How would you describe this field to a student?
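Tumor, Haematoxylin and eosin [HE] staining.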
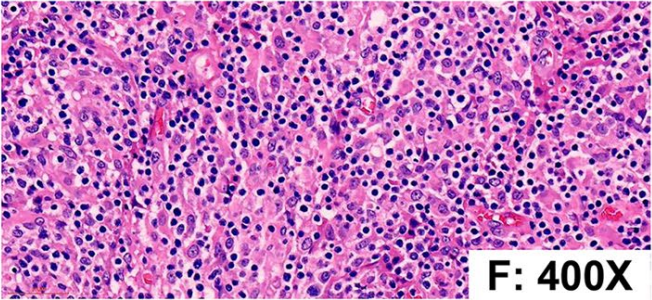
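Sheets of small cells with dark, round to slightly irregular nuclei and very little cytoplasm fill much of the field. Scattered among them are larger cells with plentiful pale pink cytoplasm and oval or elongated, paler nuclei with fine chromatin, forming loose groups. A few small vessels with red blood cells run through the tissue. The small dark cells are small lymphocytes, some with slightly irregular nuclear outlines, and the larger pink cells are epithelioid histiocytes. No well-formed granuloma or necrosis is evident in this field.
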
